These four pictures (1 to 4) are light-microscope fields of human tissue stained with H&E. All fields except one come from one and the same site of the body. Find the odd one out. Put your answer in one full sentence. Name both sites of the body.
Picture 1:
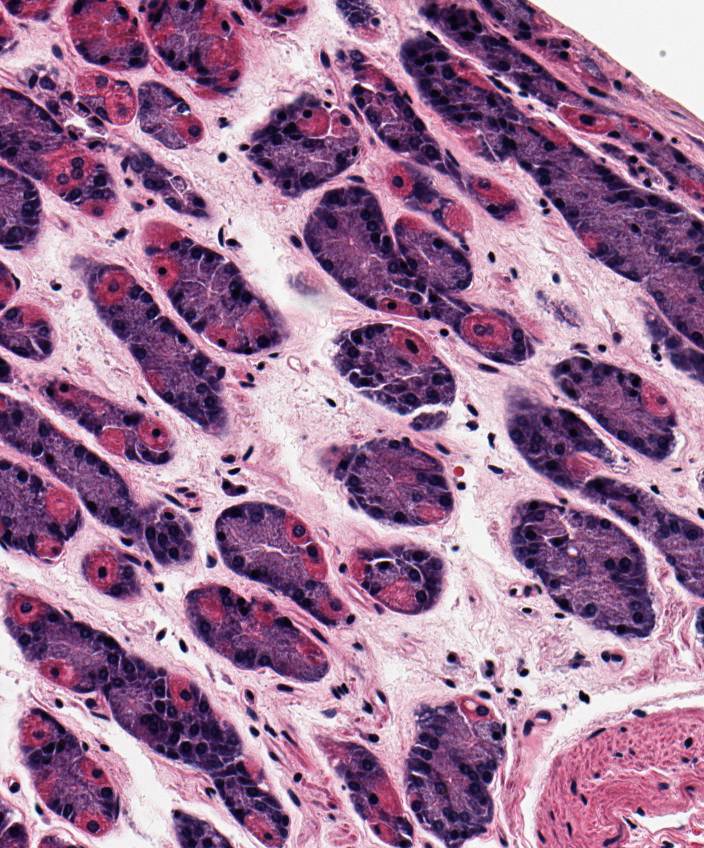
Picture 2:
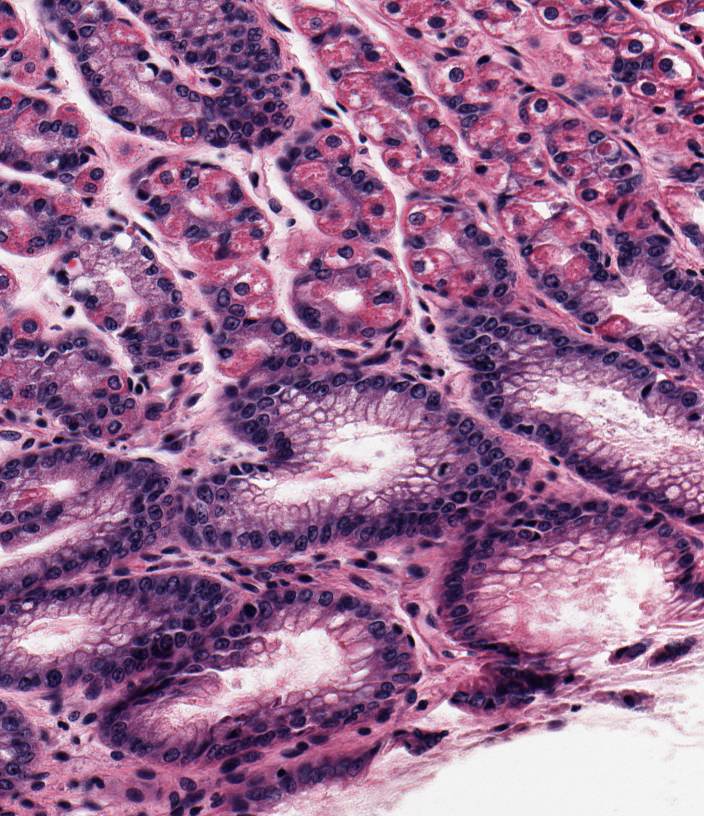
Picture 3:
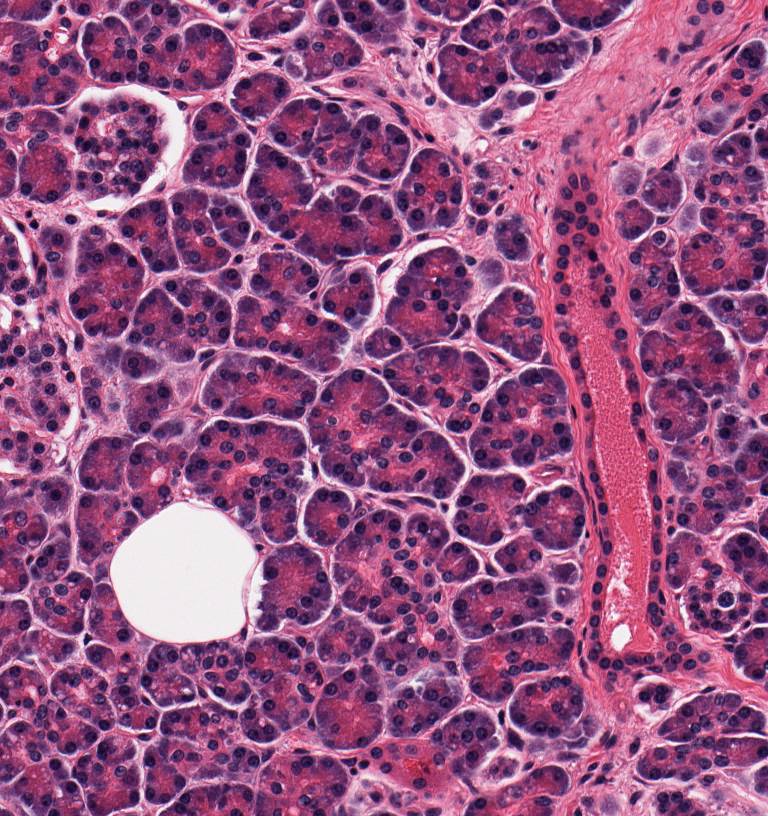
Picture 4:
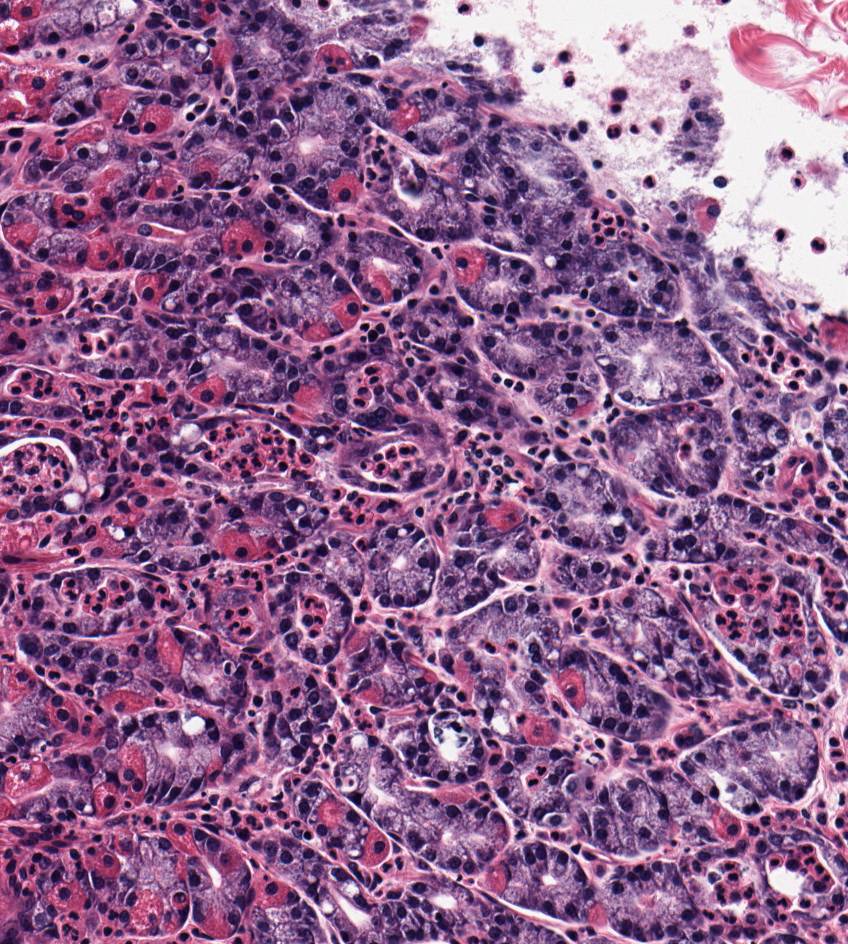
Unlike the rest, which come from the stomach, picture 3 comes from the pancreas.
